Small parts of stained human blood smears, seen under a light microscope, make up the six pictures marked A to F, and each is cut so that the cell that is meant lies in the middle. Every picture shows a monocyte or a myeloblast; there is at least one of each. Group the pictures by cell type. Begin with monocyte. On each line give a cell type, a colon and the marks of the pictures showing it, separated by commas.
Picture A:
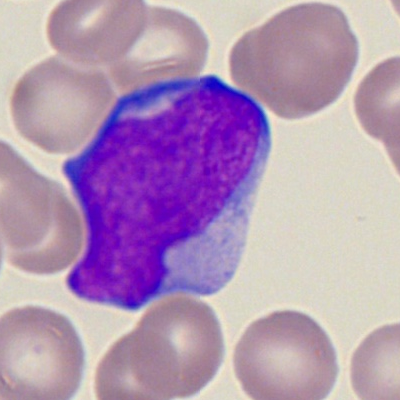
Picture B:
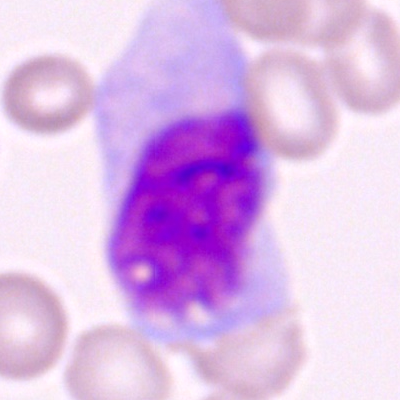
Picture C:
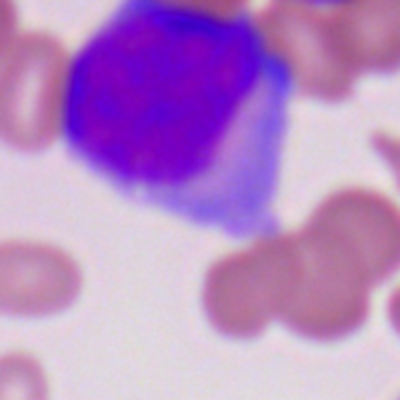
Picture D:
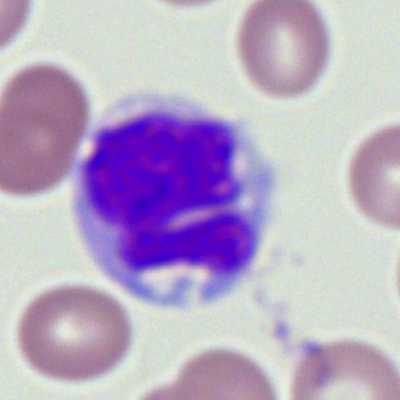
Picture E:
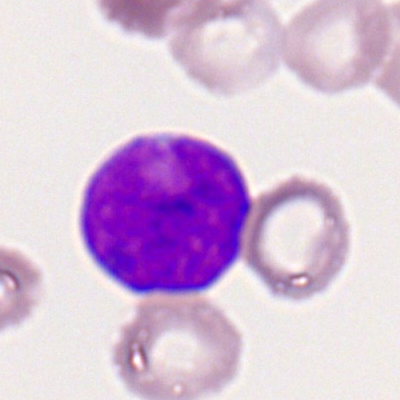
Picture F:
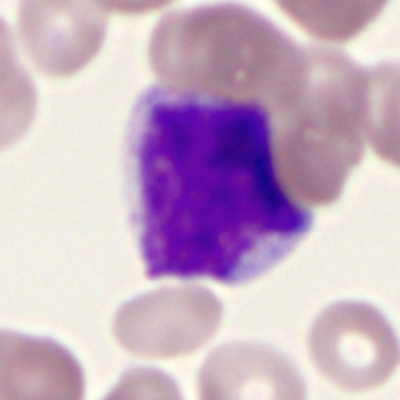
monocyte: B, D
myeloblast: A, C, E, F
